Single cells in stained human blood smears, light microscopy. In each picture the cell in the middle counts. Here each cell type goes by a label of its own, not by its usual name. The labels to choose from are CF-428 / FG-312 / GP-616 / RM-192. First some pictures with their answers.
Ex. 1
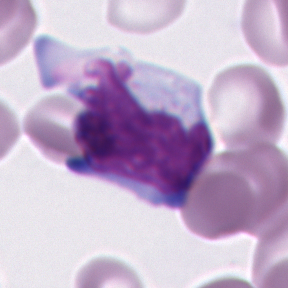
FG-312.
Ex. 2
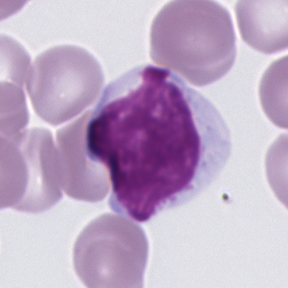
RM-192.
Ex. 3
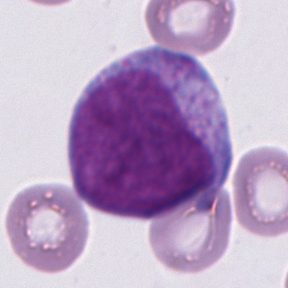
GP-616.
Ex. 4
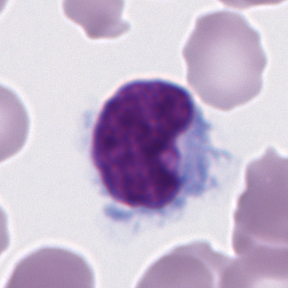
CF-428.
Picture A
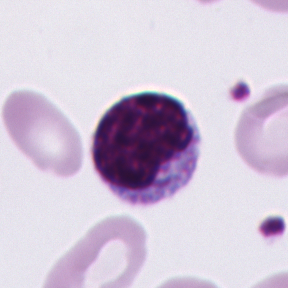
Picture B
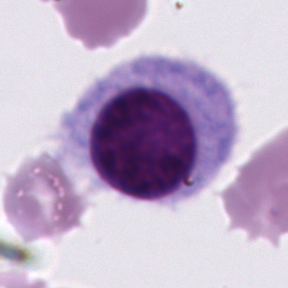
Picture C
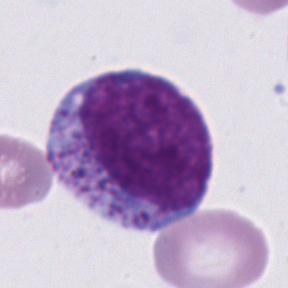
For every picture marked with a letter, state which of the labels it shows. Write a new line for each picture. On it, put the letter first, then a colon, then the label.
A: RM-192.
B: CF-428.
C: GP-616.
